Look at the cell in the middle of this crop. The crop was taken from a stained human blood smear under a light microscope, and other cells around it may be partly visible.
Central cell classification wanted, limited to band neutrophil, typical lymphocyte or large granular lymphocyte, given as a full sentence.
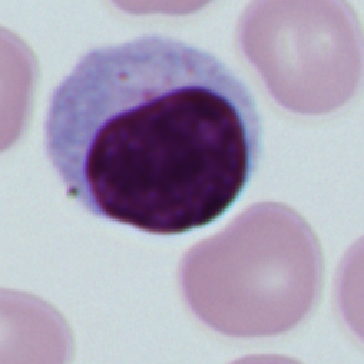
In the middle of this smear crop, the cell is a large granular lymphocyte.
